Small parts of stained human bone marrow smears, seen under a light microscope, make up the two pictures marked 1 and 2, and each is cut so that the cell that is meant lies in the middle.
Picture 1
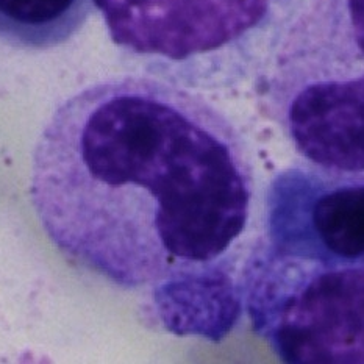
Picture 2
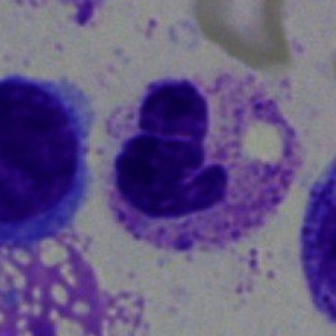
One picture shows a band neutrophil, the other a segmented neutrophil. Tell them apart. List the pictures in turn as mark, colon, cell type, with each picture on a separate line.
1: band neutrophil
2: segmented neutrophil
